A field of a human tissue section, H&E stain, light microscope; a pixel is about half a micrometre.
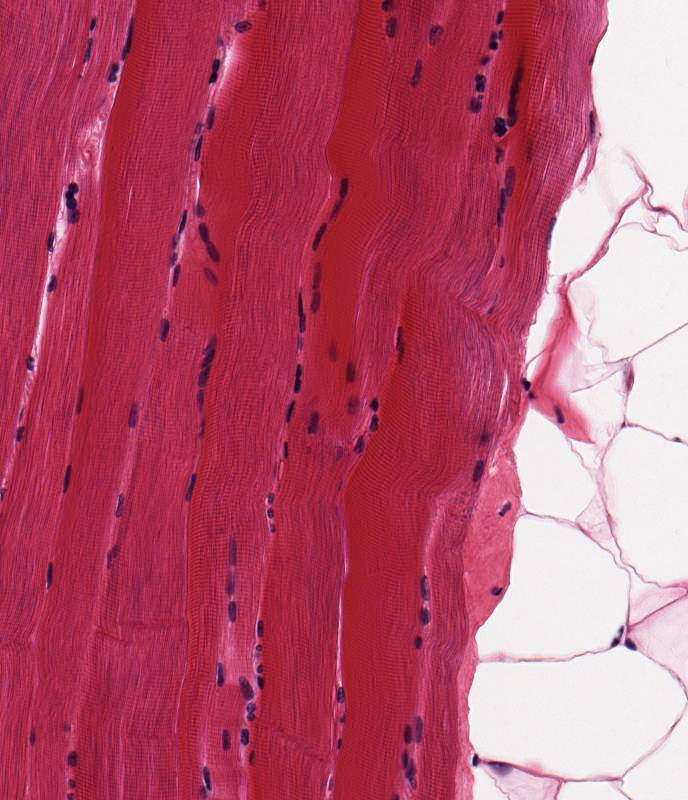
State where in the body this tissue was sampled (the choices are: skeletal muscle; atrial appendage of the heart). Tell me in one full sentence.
The site sampled for this tissue was the skeletal muscle.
